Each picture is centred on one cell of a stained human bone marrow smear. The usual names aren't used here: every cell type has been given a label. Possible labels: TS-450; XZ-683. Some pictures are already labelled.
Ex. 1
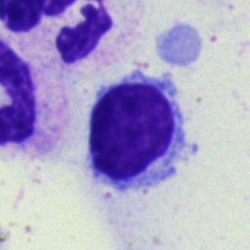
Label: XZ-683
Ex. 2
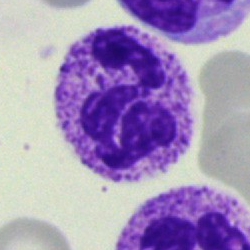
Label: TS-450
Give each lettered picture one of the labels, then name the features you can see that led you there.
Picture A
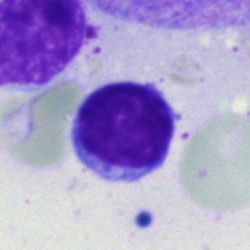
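XZ-683. Evidence: The nucleus fills most of the cell, leaving the cytoplasm as a crescent below it.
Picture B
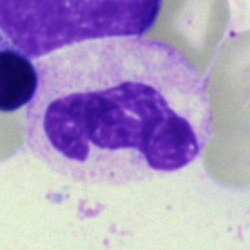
TS-450. Evidence: The cytoplasm is abundant and pale pinkish-lilac.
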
